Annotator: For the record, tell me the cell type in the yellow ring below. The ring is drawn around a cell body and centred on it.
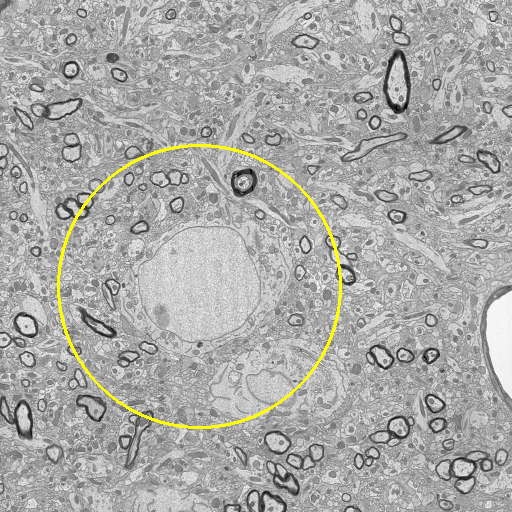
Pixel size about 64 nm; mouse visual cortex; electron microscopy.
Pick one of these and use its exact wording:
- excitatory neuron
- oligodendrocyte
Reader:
excitatory neuron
